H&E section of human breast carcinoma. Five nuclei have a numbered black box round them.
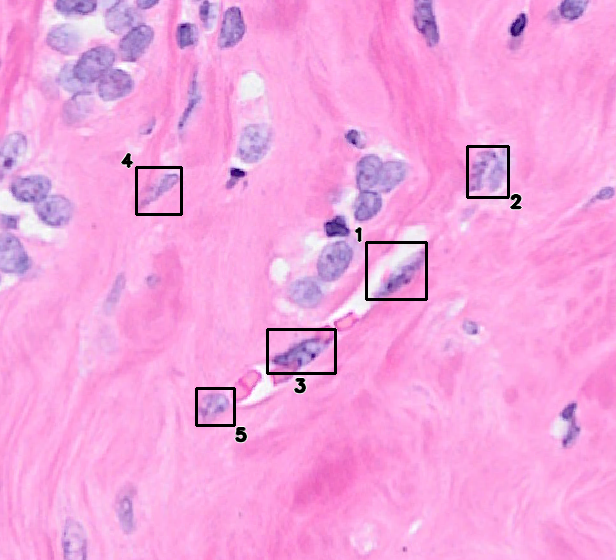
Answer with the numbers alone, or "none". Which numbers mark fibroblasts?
2, 4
